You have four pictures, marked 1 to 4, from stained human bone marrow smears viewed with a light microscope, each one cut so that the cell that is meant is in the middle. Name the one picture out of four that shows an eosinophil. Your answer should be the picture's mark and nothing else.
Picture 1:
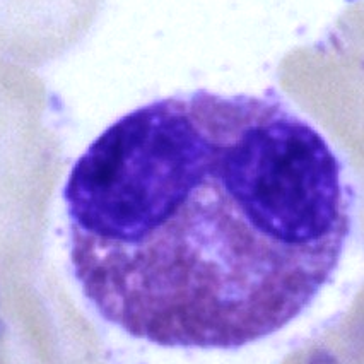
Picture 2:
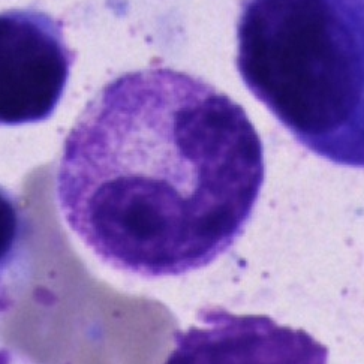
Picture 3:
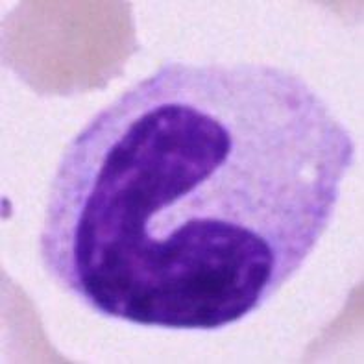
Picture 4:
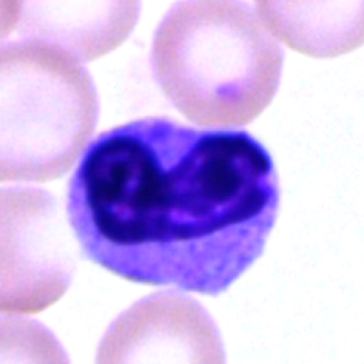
1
